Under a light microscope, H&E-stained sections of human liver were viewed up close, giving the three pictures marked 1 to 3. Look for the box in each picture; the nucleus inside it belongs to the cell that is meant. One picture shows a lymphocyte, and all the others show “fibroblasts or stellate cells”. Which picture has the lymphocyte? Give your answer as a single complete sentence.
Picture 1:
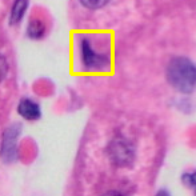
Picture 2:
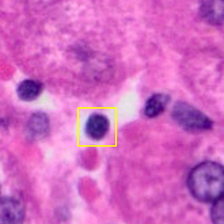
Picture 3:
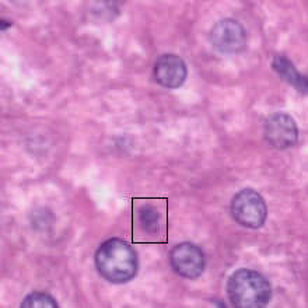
Picture 2 is the one that shows the lymphocyte.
